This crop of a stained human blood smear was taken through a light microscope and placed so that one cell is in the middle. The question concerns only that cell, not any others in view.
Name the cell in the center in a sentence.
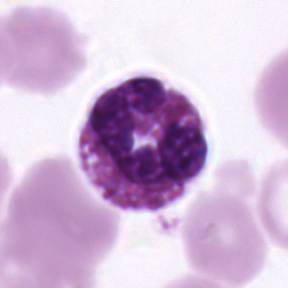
The centrally placed cell is classified as an eosinophil.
